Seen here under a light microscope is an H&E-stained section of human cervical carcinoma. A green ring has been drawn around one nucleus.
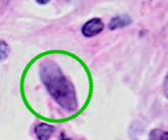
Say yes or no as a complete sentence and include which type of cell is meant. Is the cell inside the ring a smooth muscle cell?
No, the cell inside the ring is a macrophage or monocyte rather than a smooth muscle cell in this section.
